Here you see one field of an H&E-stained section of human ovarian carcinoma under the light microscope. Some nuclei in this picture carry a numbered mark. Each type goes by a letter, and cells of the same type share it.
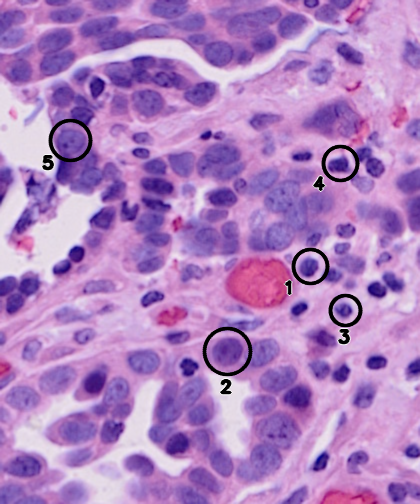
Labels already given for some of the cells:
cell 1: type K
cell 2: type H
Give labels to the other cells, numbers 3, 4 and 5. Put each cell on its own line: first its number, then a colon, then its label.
3: type K
4: type K
5: type H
